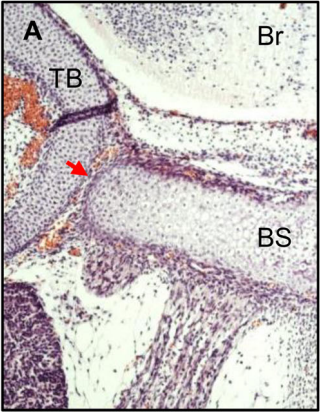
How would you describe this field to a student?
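Section through the cranial base showing cartilage of the tympanic bulla and basisphenoid, with brain tissue above. The cartilage masses are pale with evenly scattered small nuclei, and each is surrounded by a denser layer of flattened, darker cells. Between the bulla cartilage at left and the basisphenoid at right lies a narrow band of densely packed, darkly staining mesenchyme that keeps the two apart.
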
